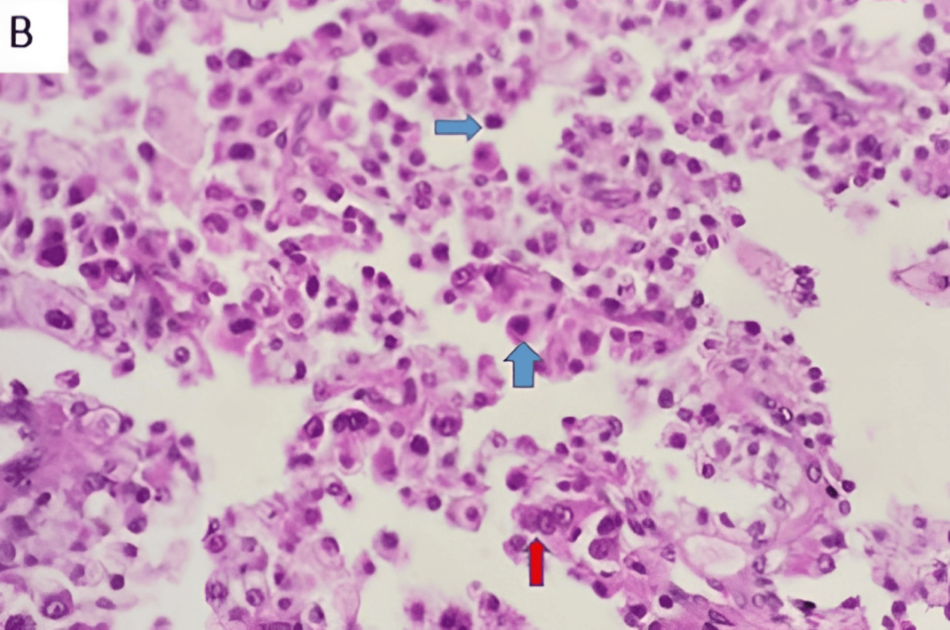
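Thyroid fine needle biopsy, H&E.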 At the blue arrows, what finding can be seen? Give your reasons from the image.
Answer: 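The marked cells bulge from the edge of the cell cluster into the clear space. Their dark nuclei sit at the free, protruding end of the cell. The answer: hobnailing.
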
